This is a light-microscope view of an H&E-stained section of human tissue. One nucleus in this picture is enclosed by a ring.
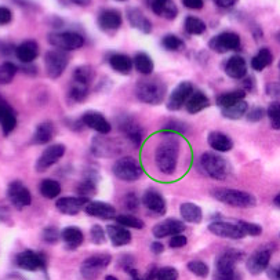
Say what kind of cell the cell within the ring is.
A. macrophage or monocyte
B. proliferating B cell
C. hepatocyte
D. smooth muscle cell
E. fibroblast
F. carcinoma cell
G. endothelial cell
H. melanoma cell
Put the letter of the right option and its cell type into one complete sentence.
Here the right answer is G, with the cell within the ring being an endothelial cell.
